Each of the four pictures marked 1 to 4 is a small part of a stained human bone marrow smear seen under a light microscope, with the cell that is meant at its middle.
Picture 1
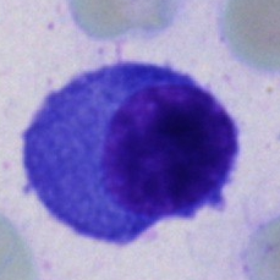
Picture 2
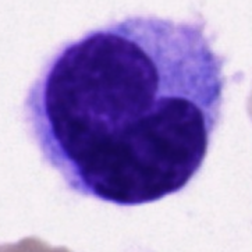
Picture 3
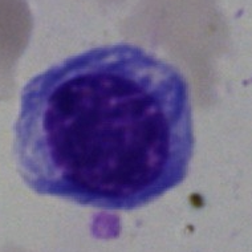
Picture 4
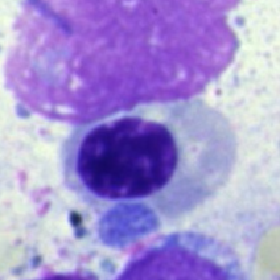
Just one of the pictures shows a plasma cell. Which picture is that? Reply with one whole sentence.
Picture 1 shows the plasma cell.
